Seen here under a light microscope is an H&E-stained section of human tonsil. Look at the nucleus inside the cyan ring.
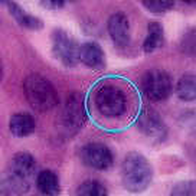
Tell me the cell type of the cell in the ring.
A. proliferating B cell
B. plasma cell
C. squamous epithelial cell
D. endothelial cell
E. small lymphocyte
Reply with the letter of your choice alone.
B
